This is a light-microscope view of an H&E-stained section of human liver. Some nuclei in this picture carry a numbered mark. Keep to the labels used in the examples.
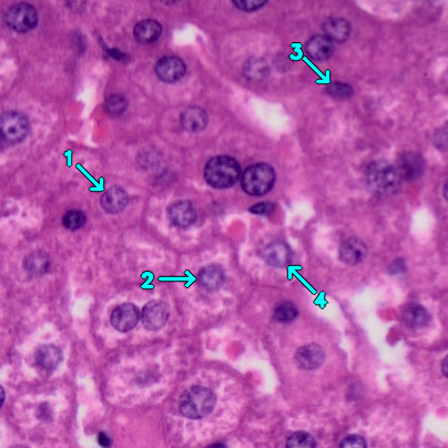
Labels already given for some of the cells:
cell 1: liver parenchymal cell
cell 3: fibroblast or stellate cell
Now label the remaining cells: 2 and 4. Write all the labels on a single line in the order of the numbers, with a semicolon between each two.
liver parenchymal cell; liver parenchymal cell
